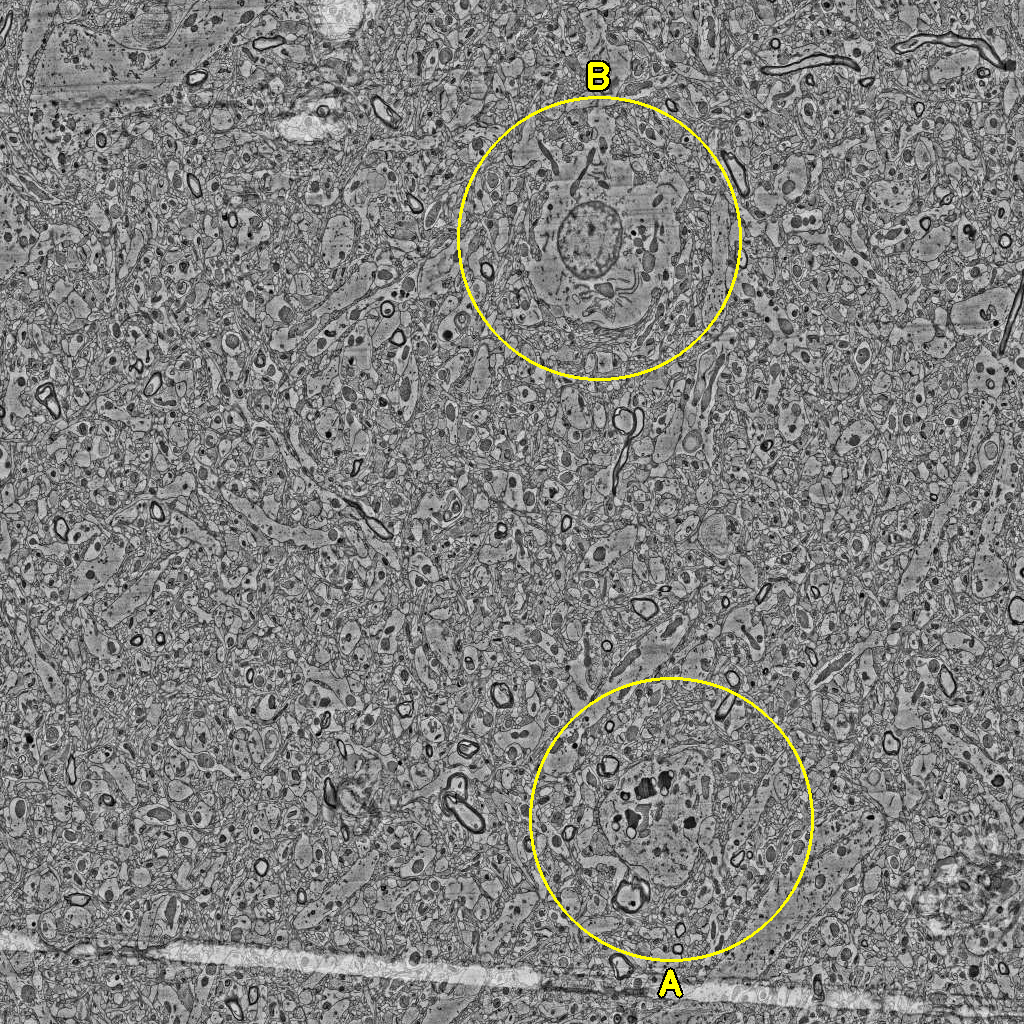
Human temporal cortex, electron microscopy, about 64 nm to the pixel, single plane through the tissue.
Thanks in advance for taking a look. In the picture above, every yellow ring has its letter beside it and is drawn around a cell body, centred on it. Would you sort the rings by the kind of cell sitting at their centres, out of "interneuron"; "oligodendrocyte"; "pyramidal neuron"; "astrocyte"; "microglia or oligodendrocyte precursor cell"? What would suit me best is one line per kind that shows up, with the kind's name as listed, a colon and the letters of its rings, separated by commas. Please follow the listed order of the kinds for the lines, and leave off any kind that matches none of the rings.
interneuron: A
astrocyte: B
